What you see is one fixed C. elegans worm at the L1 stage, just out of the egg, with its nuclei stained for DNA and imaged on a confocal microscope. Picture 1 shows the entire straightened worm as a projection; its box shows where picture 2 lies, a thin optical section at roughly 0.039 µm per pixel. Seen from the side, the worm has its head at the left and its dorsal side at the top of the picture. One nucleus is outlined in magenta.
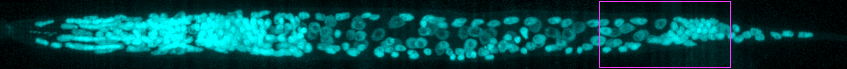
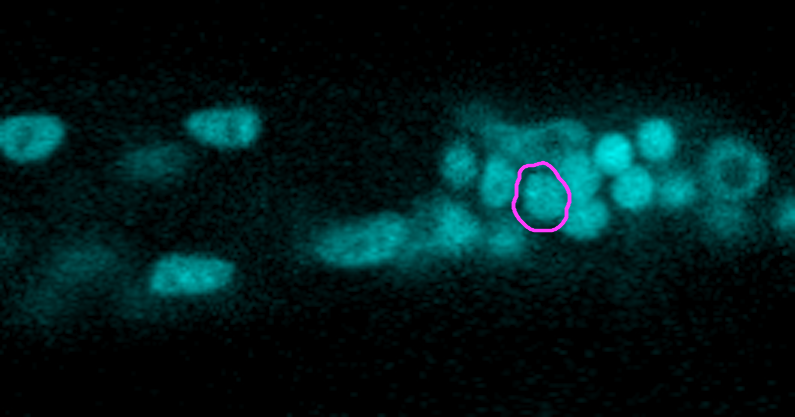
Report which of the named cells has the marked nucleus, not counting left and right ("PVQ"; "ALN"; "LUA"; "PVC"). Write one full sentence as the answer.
The cell whose nucleus is marked is PVQ, a neuron.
